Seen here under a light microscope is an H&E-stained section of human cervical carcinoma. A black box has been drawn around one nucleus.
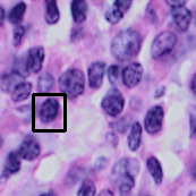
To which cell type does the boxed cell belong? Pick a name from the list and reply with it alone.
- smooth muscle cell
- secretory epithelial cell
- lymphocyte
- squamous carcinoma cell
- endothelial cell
lymphocyte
